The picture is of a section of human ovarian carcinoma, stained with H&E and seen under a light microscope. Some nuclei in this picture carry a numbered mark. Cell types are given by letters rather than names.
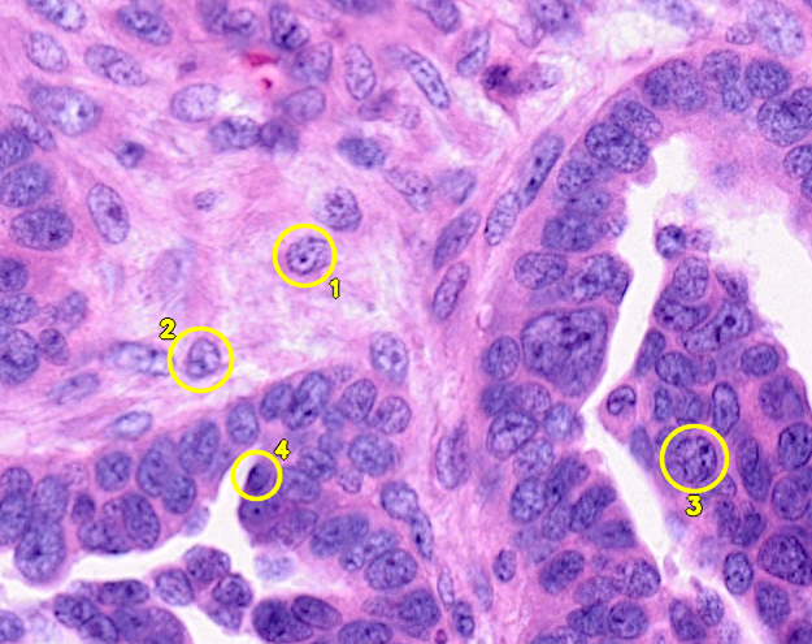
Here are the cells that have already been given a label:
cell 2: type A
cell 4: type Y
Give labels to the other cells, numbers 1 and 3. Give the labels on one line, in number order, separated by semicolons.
type A; type Y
